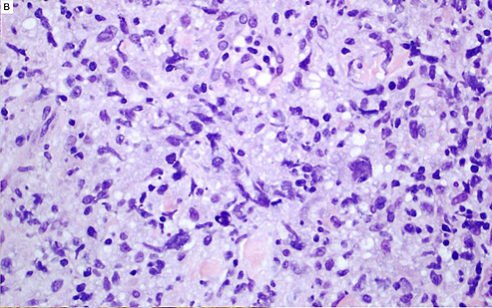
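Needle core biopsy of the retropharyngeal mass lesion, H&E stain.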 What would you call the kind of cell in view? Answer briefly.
large atypical epithelioid cells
